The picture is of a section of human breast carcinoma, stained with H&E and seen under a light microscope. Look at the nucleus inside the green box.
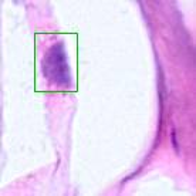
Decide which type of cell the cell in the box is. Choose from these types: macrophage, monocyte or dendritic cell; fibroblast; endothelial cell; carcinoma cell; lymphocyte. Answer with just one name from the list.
endothelial cell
